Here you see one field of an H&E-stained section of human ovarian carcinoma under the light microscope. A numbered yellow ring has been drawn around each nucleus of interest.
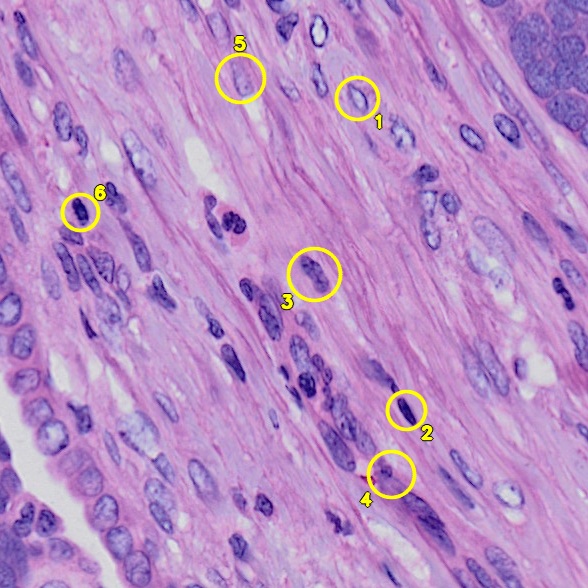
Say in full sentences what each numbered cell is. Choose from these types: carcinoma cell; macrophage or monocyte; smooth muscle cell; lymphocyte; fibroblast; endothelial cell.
Cell 1 is a fibroblast, cell 2 is a lymphocyte, cell 3 is a macrophage or monocyte, cell 4 is an endothelial cell, cell 5 is a fibroblast and cell 6 is a lymphocyte.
